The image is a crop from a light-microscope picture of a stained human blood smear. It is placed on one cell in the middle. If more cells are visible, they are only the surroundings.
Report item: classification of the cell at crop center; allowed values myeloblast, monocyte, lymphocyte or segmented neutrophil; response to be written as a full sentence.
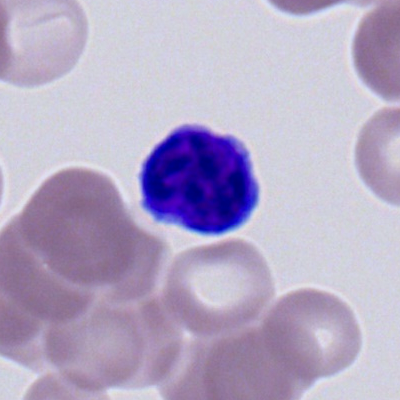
The cell centered in this field of view is a lymphocyte.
